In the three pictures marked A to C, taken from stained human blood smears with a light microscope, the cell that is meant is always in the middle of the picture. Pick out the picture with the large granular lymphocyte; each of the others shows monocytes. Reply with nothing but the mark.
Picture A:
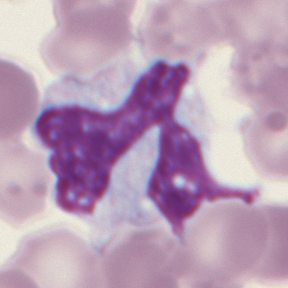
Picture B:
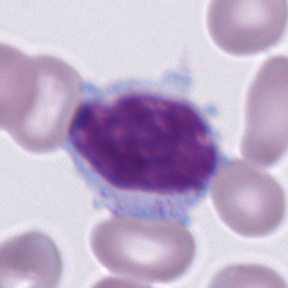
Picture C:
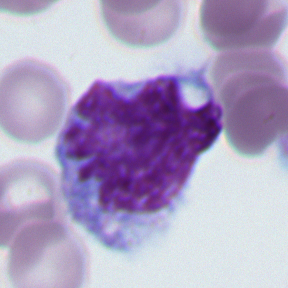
B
